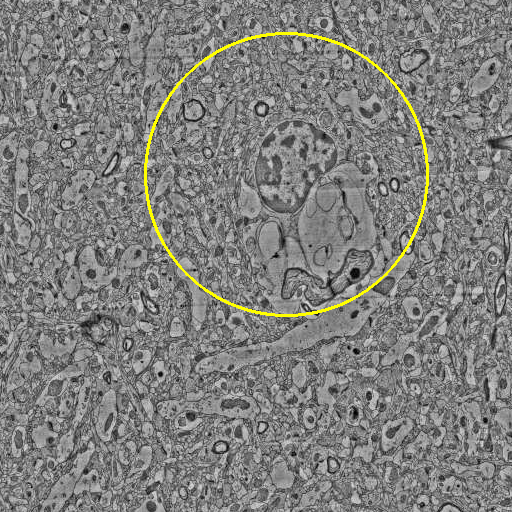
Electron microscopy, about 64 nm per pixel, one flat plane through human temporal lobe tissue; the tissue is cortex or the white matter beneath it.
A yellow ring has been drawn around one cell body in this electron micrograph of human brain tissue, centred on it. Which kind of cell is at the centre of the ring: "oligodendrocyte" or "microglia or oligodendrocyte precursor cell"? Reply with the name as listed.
microglia or oligodendrocyte precursor cell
